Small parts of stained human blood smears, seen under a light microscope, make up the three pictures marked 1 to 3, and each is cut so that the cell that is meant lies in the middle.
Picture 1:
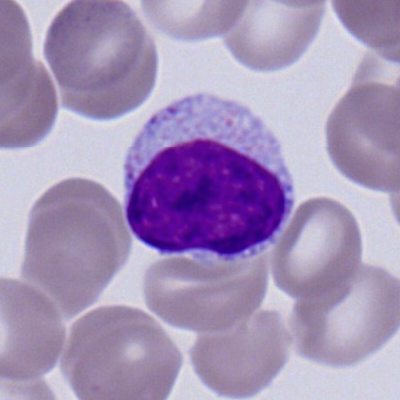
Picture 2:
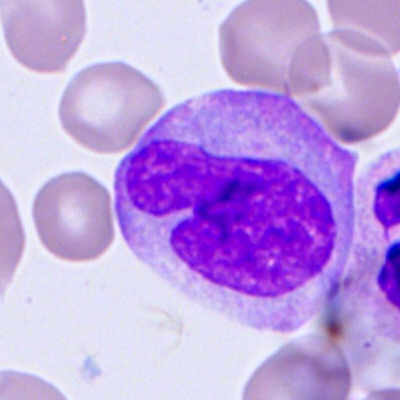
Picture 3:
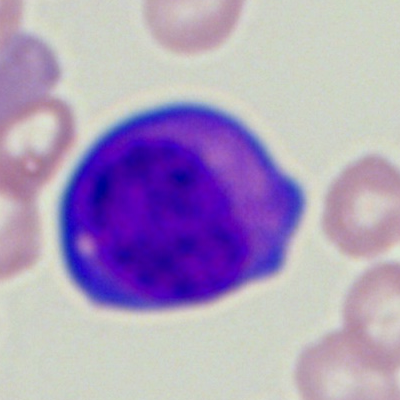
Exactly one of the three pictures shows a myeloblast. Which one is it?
3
